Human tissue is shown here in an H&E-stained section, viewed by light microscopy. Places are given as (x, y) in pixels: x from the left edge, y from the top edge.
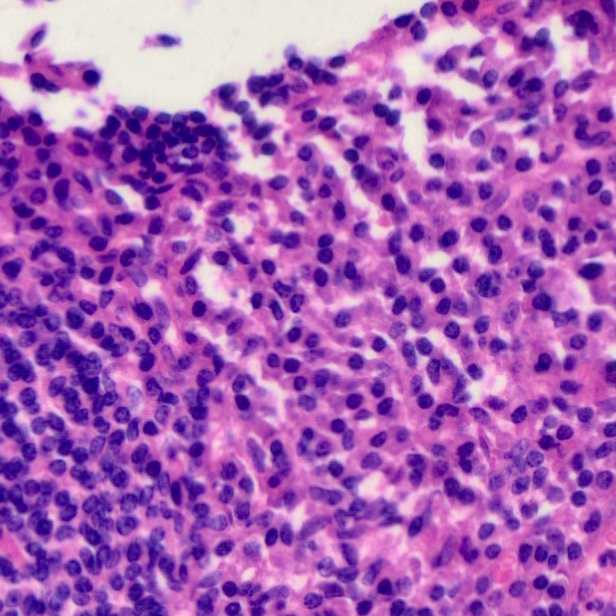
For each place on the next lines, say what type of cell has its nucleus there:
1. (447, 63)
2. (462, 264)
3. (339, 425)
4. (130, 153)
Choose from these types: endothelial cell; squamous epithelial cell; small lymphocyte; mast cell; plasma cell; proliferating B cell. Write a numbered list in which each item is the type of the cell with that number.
1. plasma cell
2. plasma cell
3. plasma cell
4. small lymphocyte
